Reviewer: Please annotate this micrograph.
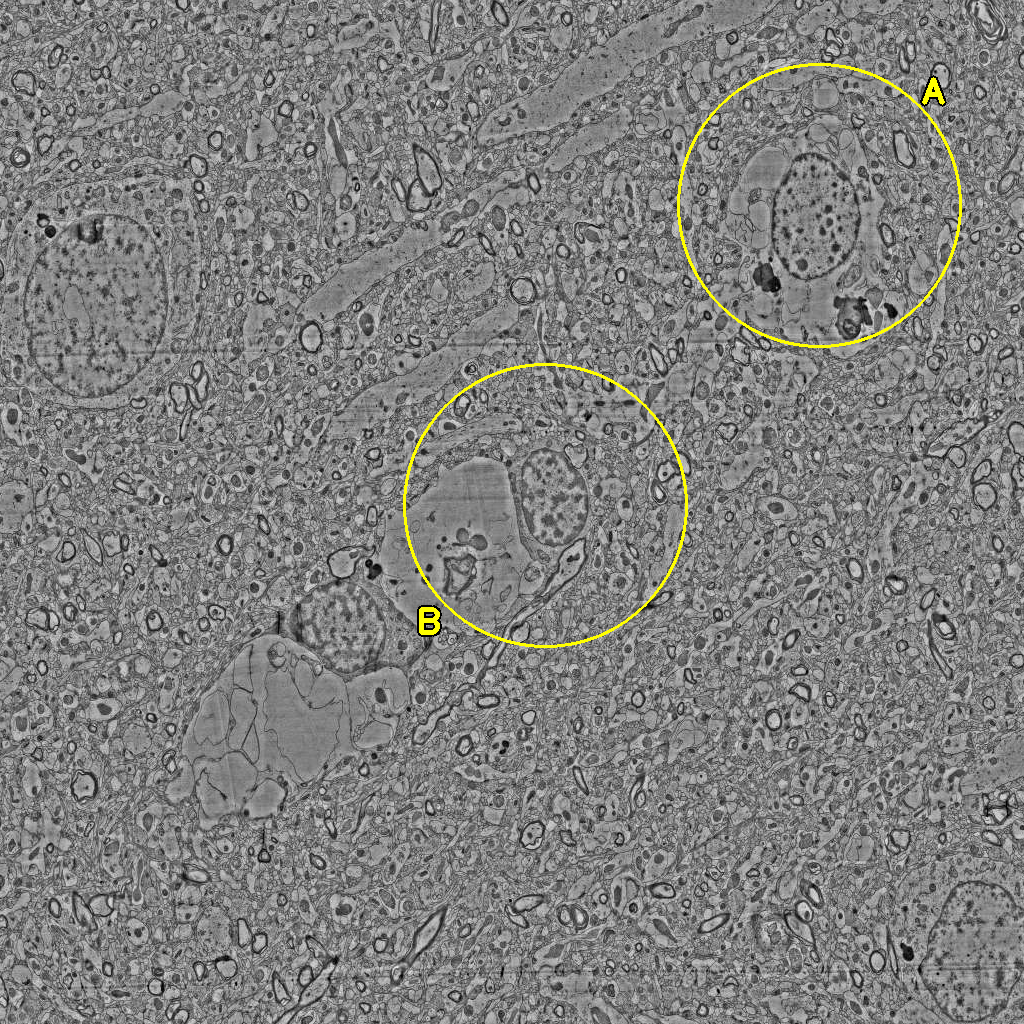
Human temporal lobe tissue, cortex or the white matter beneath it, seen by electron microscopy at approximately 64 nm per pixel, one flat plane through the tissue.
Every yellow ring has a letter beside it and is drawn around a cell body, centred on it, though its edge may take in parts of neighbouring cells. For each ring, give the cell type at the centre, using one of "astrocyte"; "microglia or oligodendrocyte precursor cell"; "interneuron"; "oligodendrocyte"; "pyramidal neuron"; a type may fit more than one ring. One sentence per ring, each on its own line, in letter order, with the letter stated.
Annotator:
The cell in the middle of ring A is an astrocyte.
The cell in the middle of ring B is an oligodendrocyte.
